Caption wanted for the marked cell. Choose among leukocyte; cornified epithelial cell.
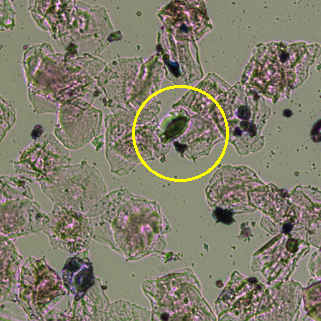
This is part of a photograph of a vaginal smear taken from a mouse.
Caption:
Ringed in yellow is a cornified epithelial cell.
